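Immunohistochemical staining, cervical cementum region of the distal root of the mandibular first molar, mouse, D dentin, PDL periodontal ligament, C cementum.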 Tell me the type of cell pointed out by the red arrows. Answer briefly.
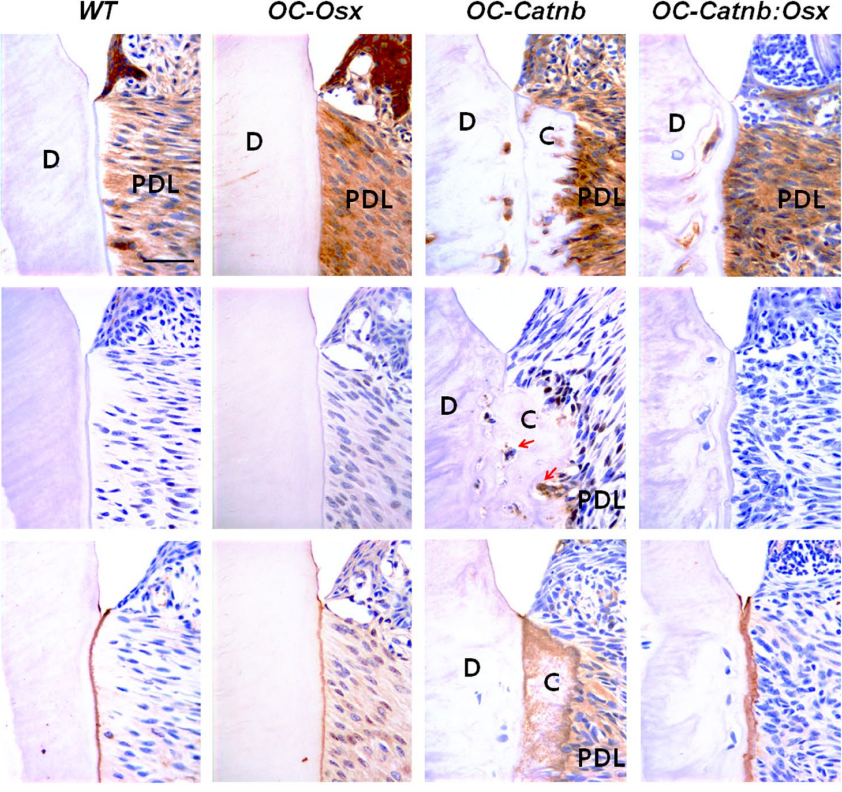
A: Cementoblasts and cementocyte-like cells.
